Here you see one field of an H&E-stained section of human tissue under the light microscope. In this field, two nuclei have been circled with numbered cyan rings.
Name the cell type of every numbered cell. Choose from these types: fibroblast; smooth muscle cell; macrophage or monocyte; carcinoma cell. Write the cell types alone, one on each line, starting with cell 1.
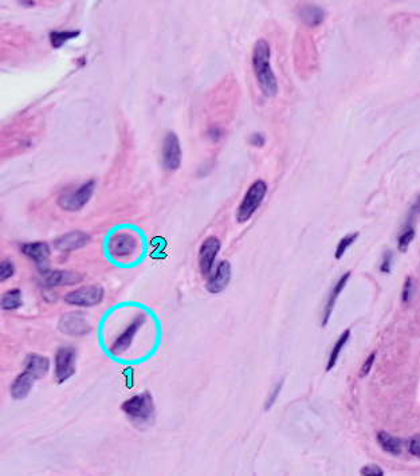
fibroblast
smooth muscle cell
